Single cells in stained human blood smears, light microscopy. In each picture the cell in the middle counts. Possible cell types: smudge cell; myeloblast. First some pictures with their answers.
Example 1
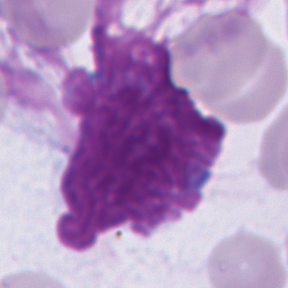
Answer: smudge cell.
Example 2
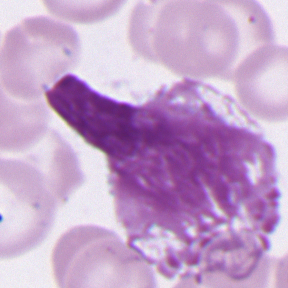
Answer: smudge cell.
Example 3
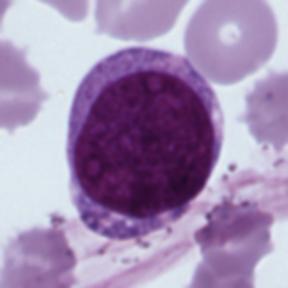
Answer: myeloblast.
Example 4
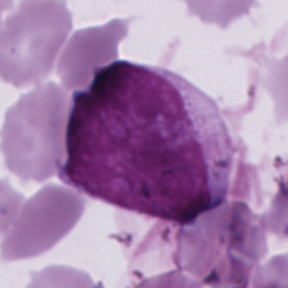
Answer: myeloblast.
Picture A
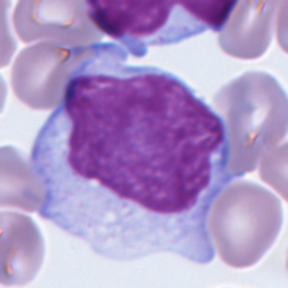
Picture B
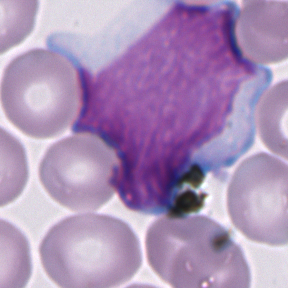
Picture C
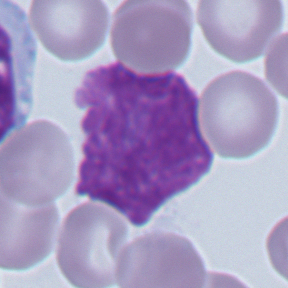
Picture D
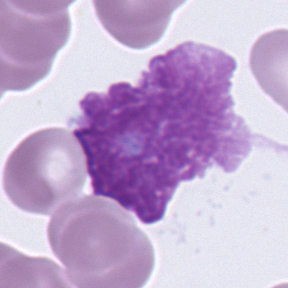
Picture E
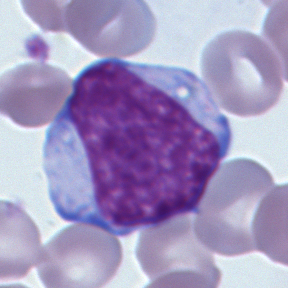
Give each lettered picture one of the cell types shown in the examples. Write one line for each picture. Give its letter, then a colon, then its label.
A: myeloblast.
B: myeloblast.
C: smudge cell.
D: smudge cell.
E: myeloblast.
